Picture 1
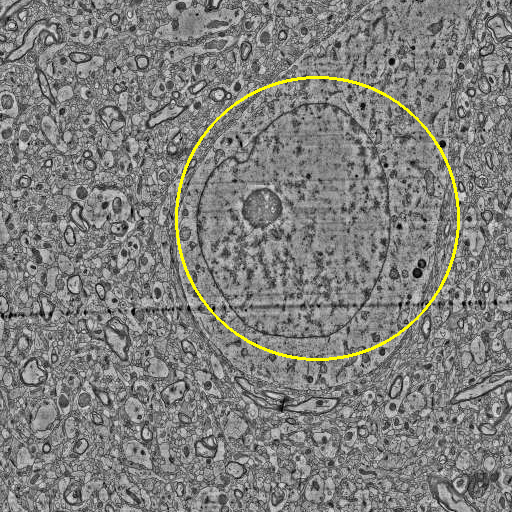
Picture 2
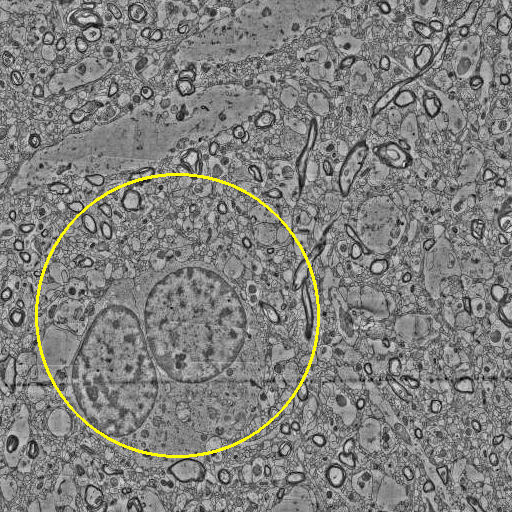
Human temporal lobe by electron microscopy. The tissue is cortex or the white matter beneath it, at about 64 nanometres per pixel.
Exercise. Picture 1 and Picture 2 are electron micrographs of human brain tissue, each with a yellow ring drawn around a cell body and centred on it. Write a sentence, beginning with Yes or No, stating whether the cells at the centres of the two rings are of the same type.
No, the cells at the centres of the rings are of two types.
